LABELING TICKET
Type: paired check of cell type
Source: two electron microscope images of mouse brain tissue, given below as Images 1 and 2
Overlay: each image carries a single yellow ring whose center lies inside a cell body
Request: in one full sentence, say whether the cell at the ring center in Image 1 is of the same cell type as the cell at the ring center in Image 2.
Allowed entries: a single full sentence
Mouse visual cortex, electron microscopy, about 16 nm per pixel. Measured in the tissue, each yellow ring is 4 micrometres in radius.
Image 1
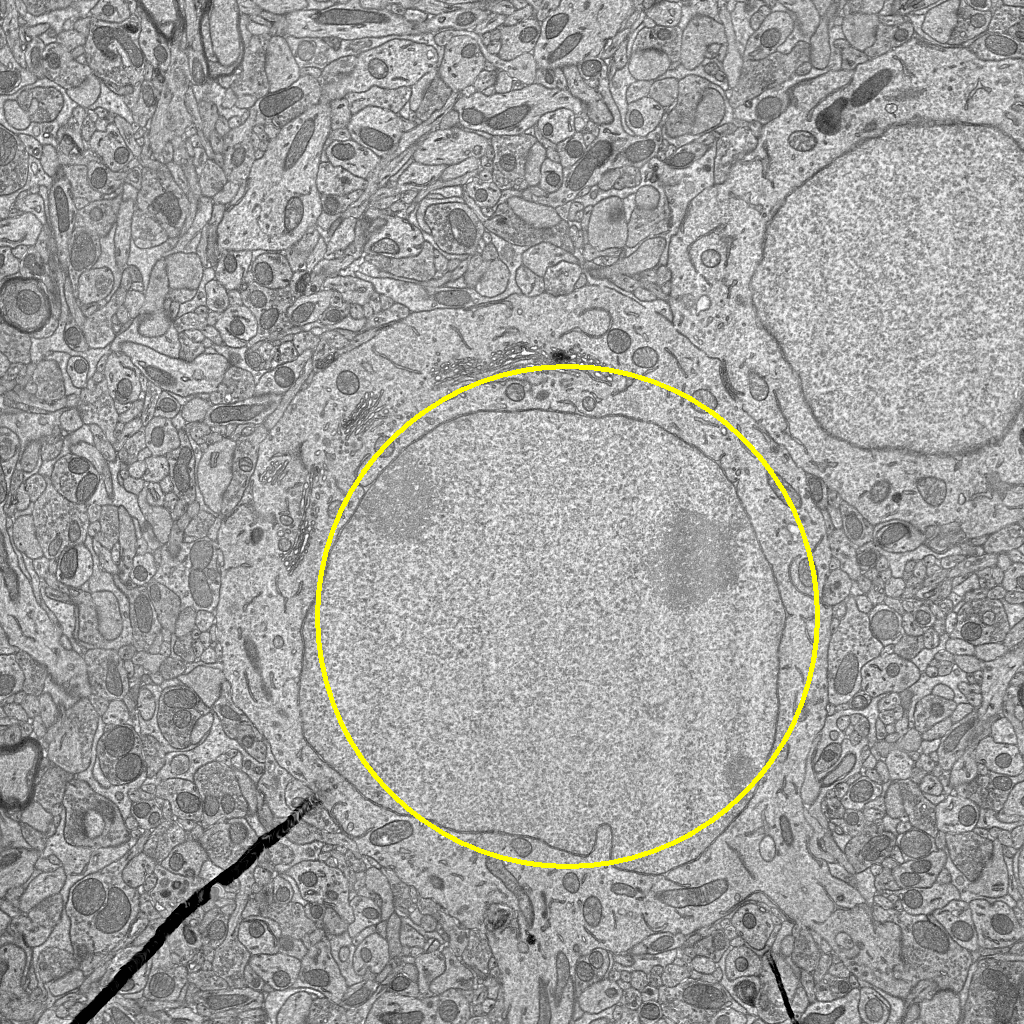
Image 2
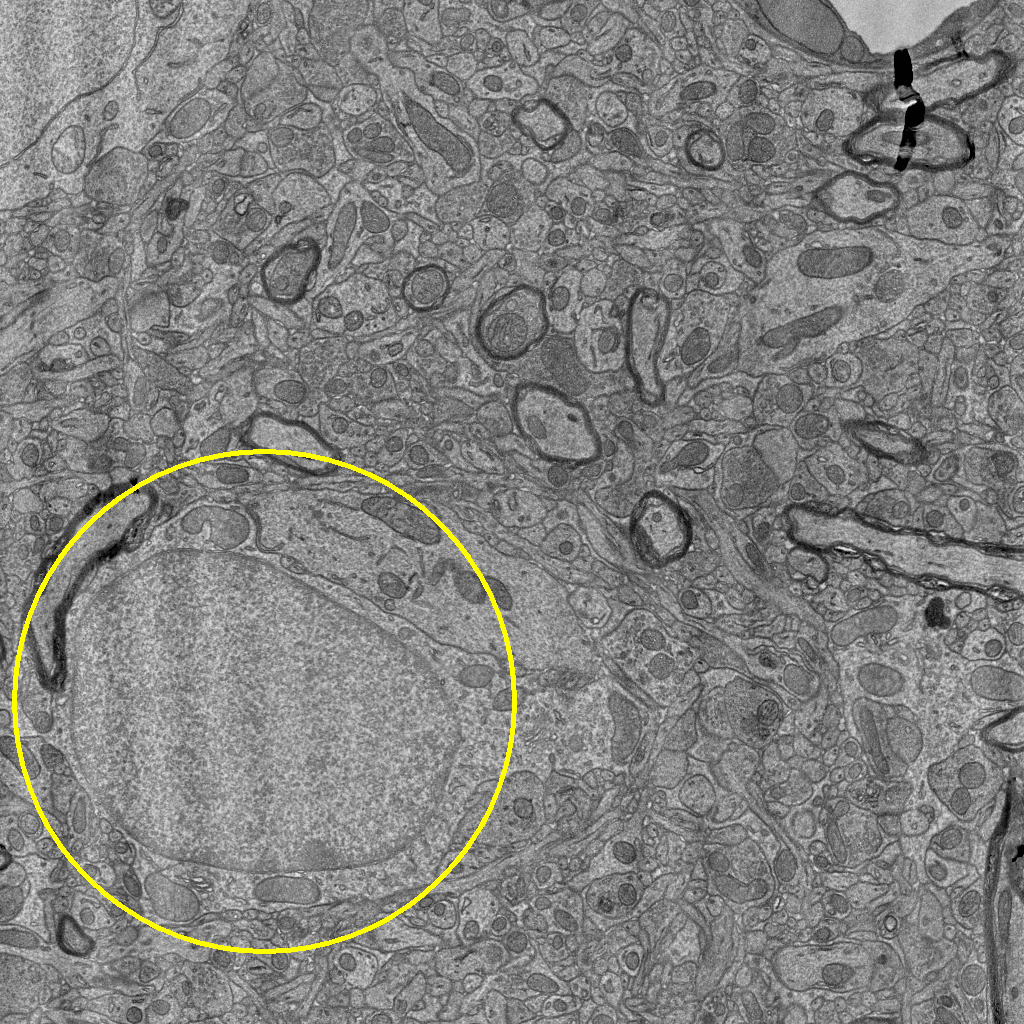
No, the cells at the ring centers of Image 1 and Image 2 are of two types.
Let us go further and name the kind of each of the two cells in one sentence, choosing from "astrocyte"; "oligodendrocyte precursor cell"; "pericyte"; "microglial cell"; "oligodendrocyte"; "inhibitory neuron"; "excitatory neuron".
The first picture's cell is an excitatory neuron, and the second picture's cell is an astrocyte.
